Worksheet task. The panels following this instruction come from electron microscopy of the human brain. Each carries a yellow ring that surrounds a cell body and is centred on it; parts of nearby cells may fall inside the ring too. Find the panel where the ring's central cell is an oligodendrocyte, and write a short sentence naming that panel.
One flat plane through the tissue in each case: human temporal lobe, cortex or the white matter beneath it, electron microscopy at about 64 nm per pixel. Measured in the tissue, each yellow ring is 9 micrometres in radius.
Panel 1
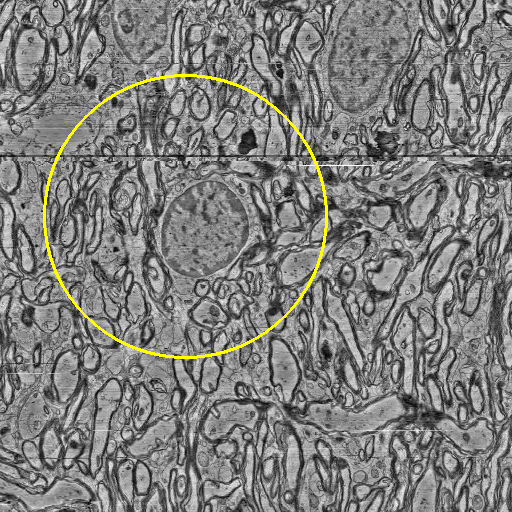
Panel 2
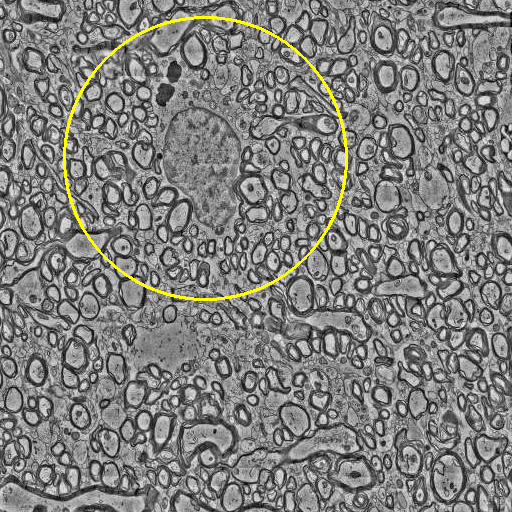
The cell sought is in Panel 2.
